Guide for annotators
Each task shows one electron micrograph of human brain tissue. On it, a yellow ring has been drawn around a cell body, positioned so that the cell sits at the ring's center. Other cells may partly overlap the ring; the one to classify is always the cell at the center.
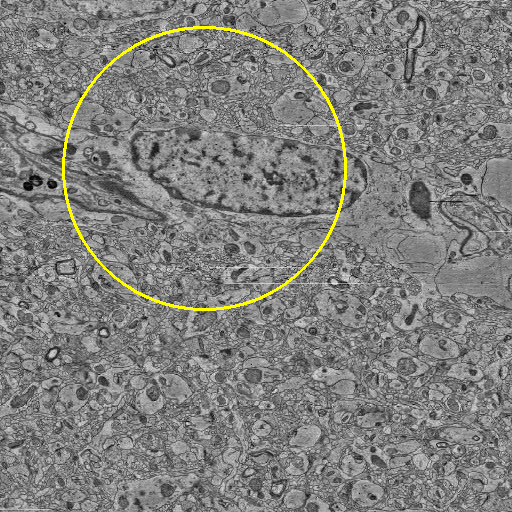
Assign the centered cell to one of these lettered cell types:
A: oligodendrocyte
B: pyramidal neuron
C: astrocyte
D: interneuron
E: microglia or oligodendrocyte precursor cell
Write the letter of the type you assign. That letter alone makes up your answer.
E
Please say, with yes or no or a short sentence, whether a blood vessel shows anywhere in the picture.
Yes, one is visible.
